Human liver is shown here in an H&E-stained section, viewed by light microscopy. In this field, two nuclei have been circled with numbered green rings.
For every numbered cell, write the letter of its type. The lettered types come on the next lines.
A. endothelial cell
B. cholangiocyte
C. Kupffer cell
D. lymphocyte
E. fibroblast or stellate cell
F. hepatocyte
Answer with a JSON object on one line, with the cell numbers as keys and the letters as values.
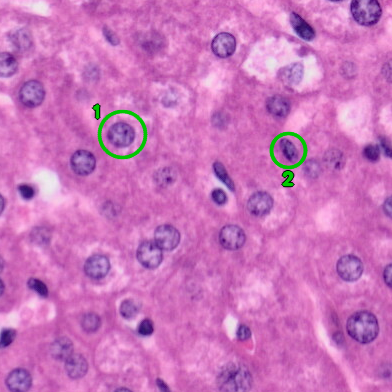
{"1": "F", "2": "E"}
